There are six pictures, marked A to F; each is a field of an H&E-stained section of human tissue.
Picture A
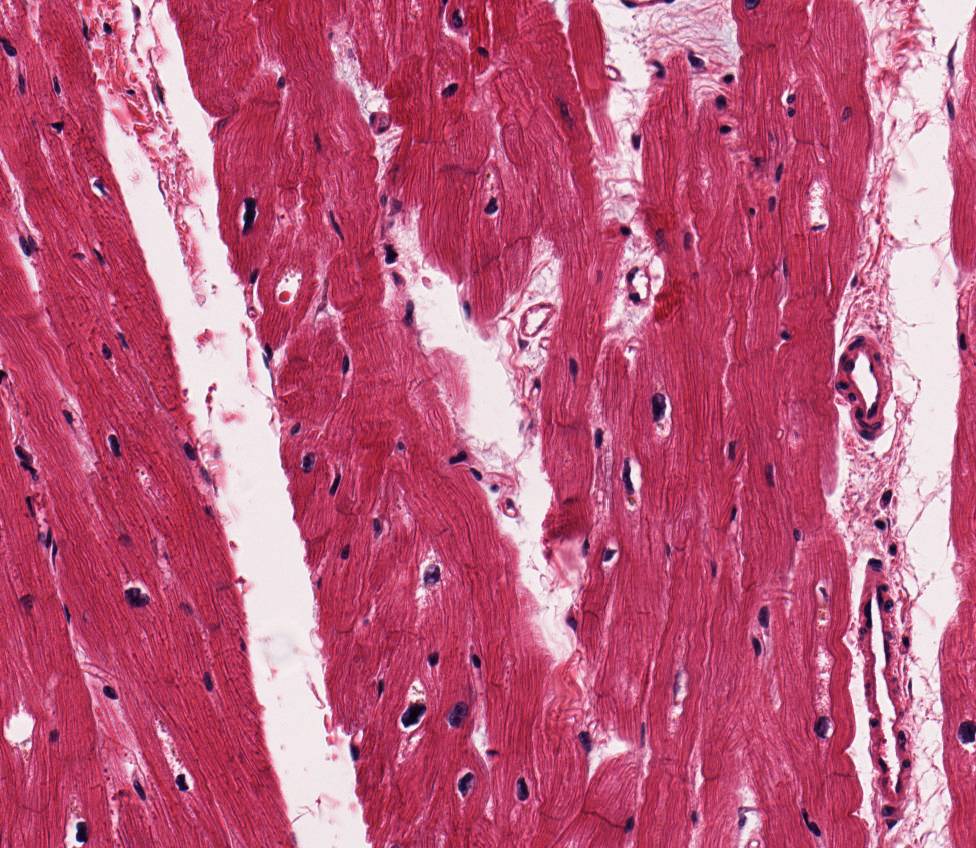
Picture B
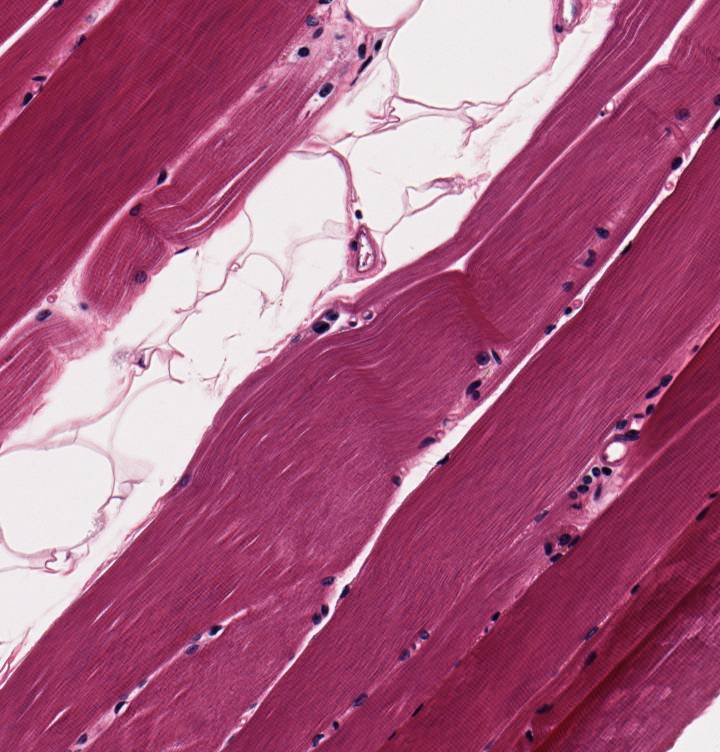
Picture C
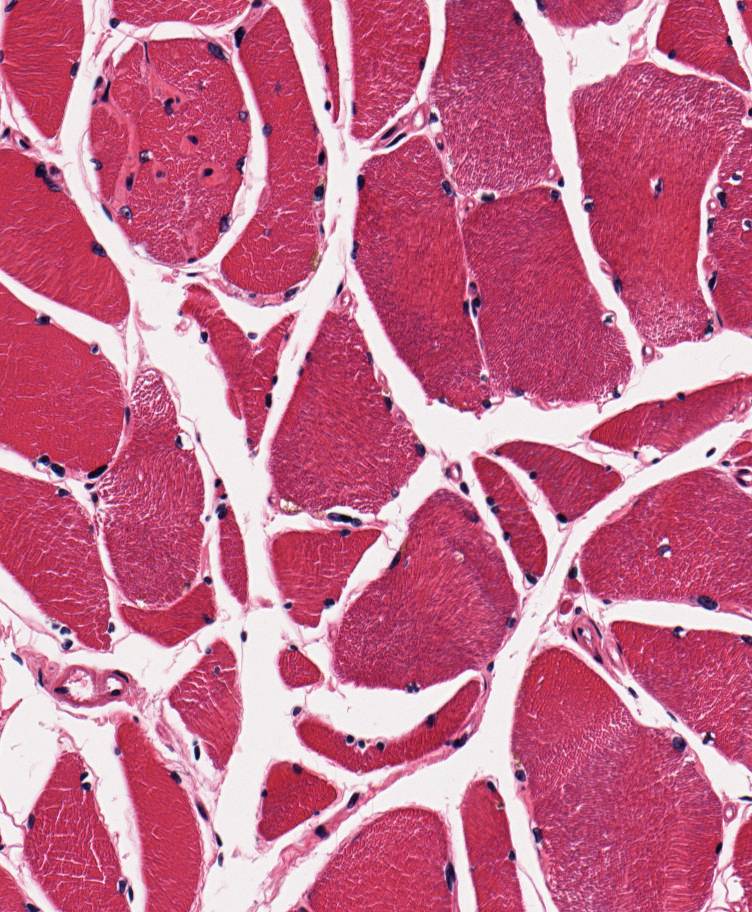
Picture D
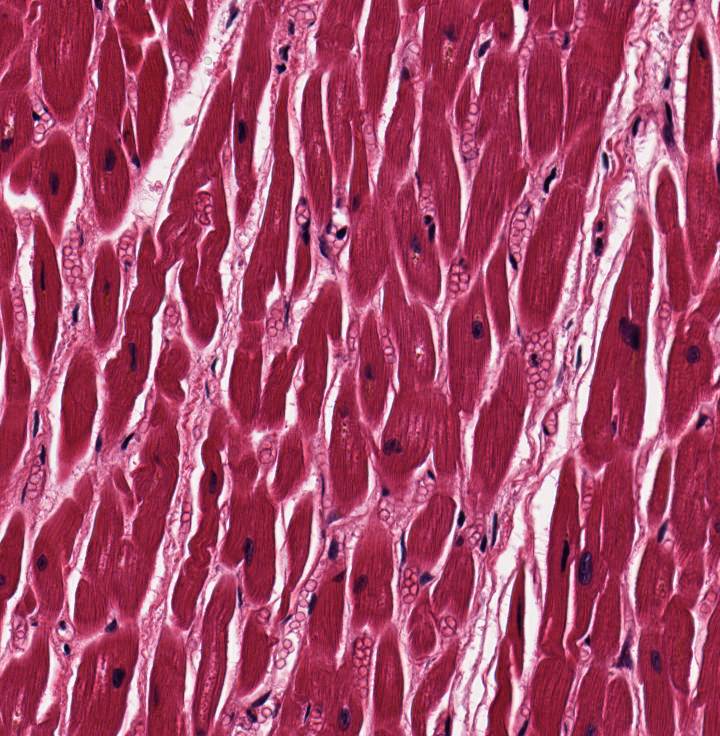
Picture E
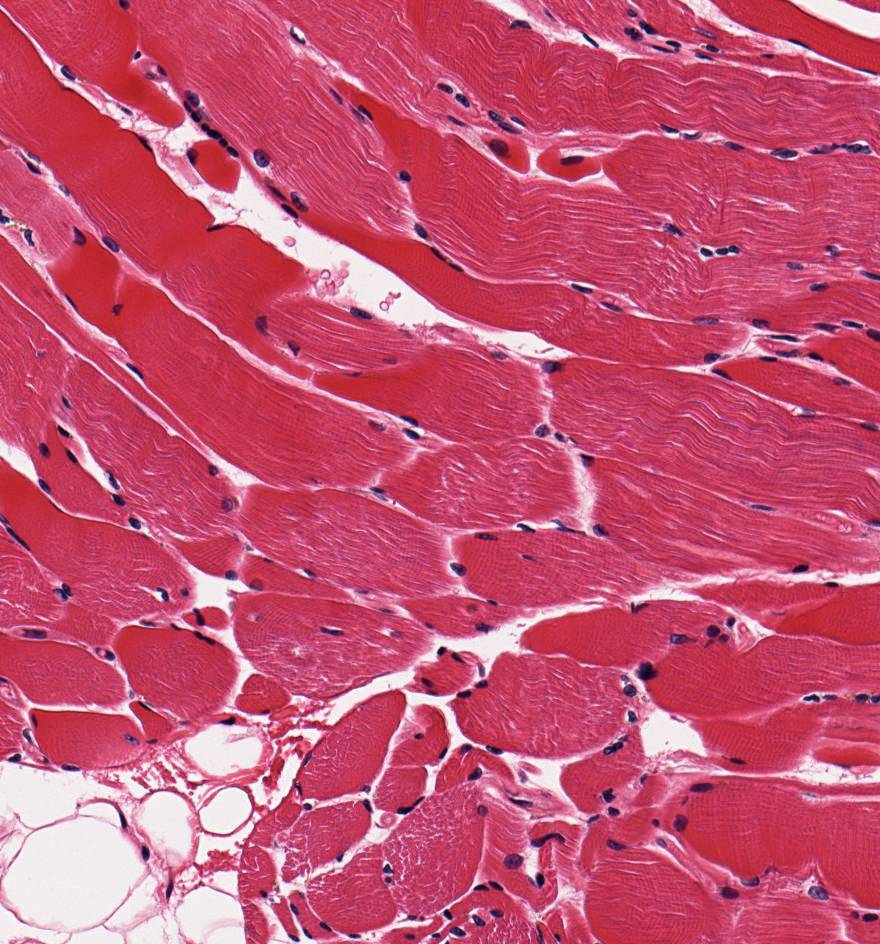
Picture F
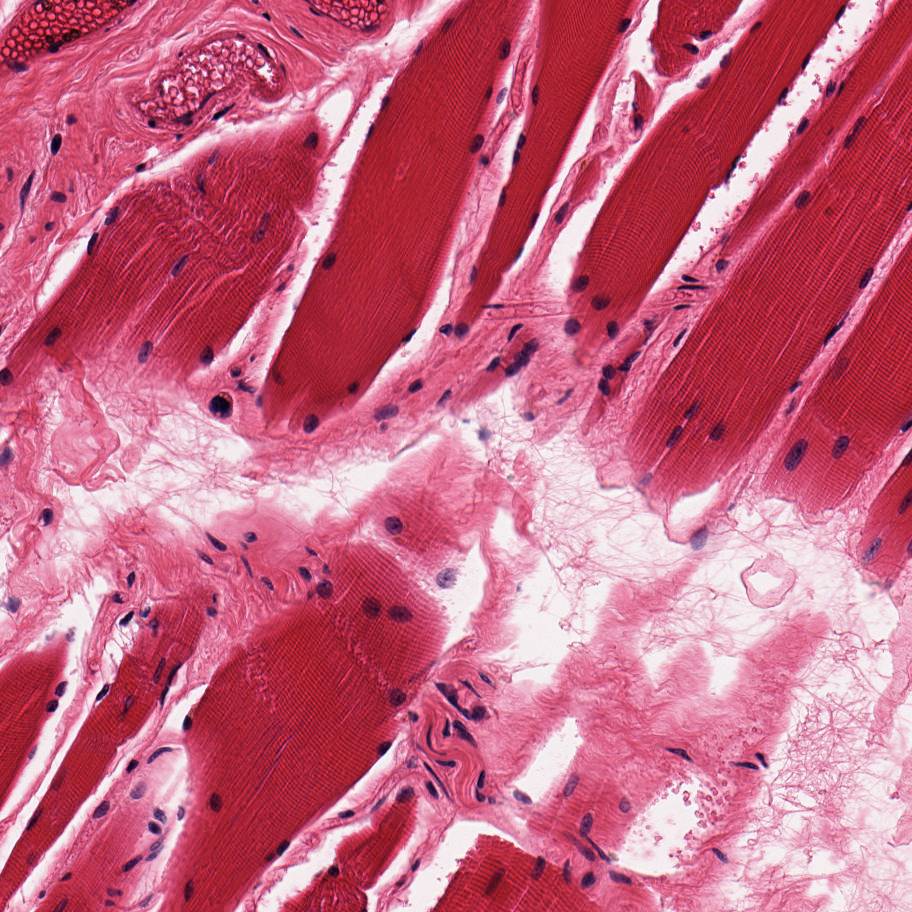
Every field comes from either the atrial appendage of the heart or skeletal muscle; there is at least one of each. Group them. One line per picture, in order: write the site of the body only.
atrial appendage of the heart
skeletal muscle
skeletal muscle
atrial appendage of the heart
skeletal muscle
skeletal muscle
